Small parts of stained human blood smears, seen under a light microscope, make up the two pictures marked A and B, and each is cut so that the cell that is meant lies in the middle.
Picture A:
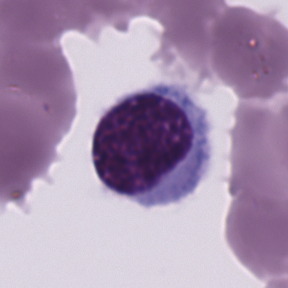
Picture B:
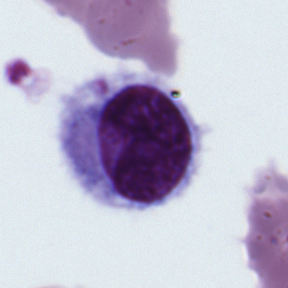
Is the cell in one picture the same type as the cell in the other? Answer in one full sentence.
Yes, both are hairy cells.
